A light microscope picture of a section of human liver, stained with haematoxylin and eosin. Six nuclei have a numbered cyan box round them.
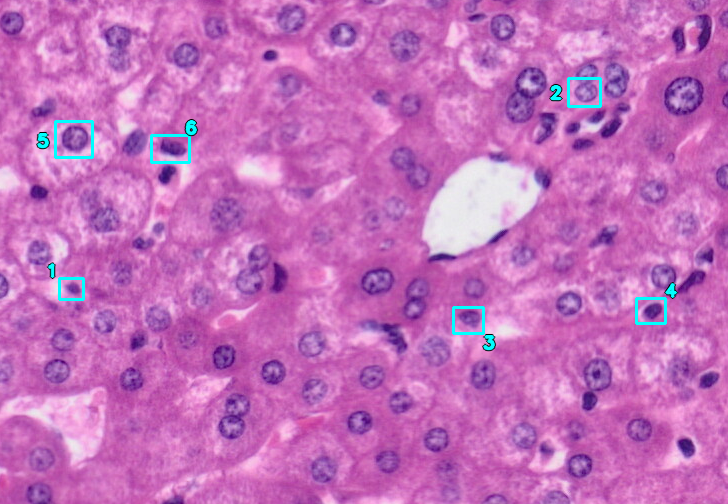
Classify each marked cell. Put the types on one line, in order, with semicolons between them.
lymphocyte; cholangiocyte; fibroblast or stellate cell; lymphocyte; hepatocyte; endothelial cell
